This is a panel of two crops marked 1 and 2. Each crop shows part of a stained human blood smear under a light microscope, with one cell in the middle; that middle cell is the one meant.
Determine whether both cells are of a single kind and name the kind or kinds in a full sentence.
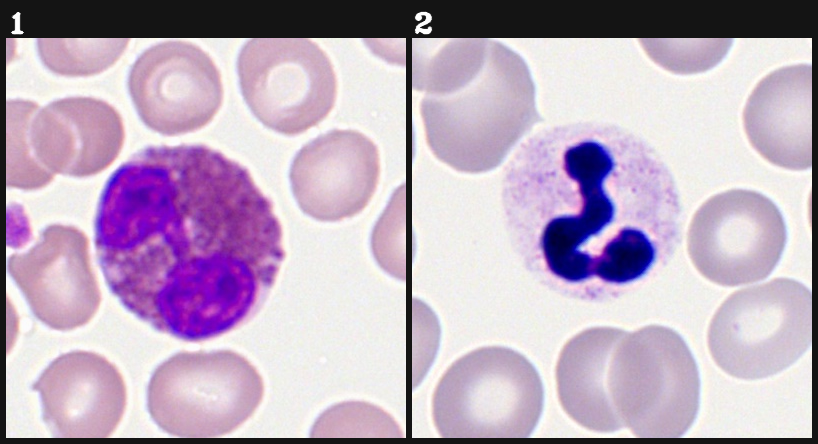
No, in crop 2 the central cell is a segmented neutrophil, and in crop 1 it is an eosinophil.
